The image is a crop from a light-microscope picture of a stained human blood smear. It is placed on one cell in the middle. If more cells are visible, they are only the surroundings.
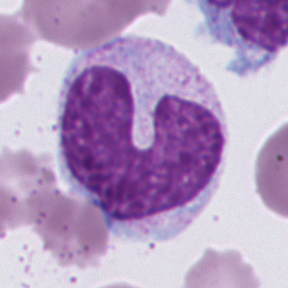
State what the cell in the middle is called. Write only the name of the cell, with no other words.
band neutrophil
